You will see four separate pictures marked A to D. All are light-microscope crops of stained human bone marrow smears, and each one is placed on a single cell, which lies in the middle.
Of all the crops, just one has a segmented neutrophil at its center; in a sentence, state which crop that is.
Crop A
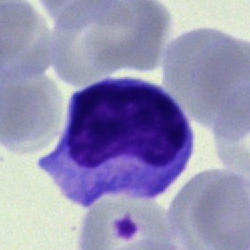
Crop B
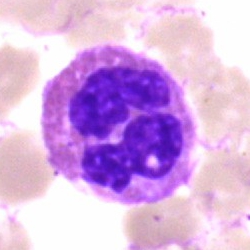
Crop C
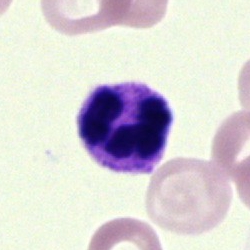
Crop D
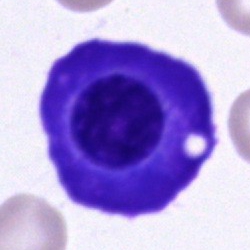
It is in crop C, among all the crops, that a segmented neutrophil is present.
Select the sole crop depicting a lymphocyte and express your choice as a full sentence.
Of the labelled crops, the one that shows a lymphocyte is crop A.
